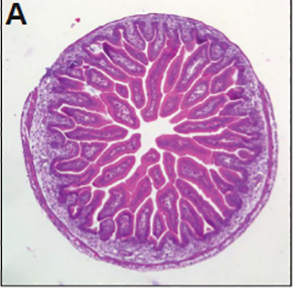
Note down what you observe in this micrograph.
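This is a whole cross-section of the small intestine stained pink and purple, with long slender villi radiating from the wall toward a small central lumen. At the base of the villi the mucosa is densely purple, and beneath it lies a paler, looser submucosal band. A thin, more uniformly pink muscular coat forms the outermost ring of the section. The villi are crowded and nearly fill the lumen, giving the section a star-like appearance.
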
